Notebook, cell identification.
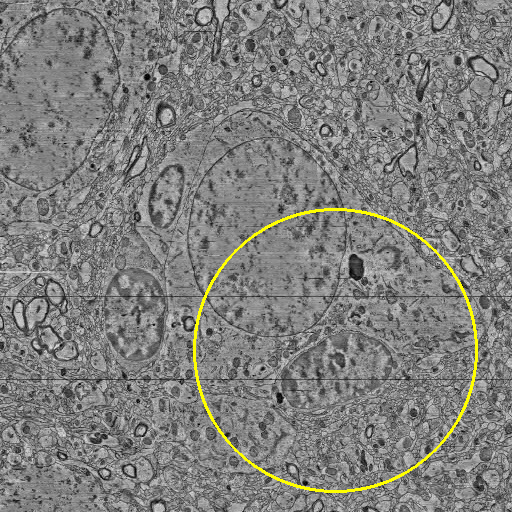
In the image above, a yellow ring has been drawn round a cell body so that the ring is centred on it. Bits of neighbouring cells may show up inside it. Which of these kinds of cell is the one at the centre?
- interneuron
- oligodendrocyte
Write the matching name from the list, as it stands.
oligodendrocyte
